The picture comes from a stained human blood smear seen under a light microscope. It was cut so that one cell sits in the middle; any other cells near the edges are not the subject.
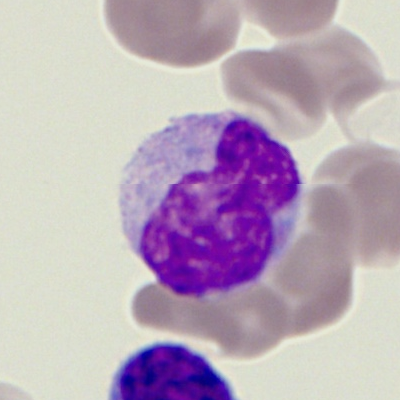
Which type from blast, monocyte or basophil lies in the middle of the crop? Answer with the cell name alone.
monocyte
